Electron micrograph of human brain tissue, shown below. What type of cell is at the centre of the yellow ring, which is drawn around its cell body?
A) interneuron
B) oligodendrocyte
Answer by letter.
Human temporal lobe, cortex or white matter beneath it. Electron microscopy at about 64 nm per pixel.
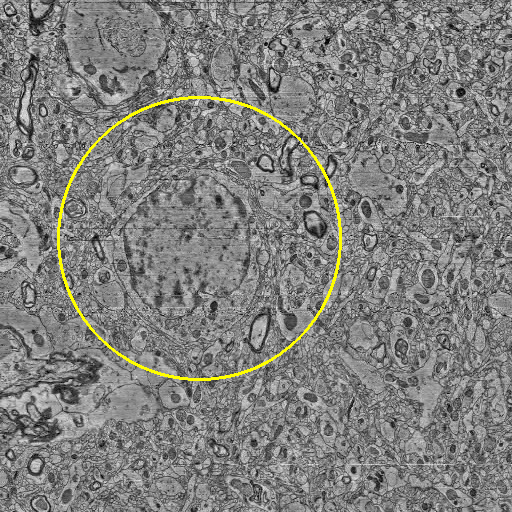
A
